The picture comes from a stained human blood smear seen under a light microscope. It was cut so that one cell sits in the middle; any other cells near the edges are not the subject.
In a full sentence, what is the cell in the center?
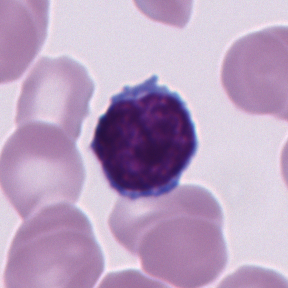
The cell marked by its central position in the crop is a typical lymphocyte.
